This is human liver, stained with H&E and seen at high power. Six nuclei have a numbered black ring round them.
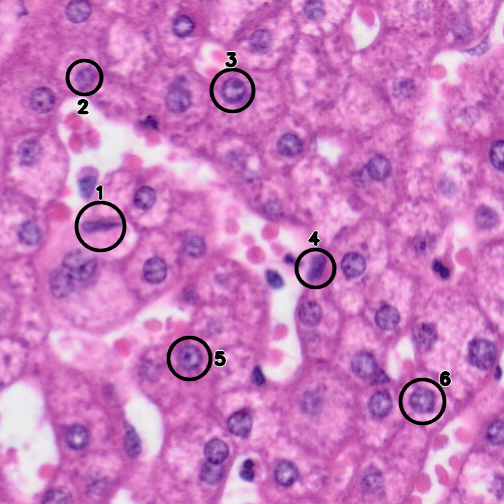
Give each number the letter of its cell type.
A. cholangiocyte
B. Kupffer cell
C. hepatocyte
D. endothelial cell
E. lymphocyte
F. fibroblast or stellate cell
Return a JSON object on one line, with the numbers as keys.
{"1": "B", "2": "C", "3": "C", "4": "F", "5": "C", "6": "C"}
